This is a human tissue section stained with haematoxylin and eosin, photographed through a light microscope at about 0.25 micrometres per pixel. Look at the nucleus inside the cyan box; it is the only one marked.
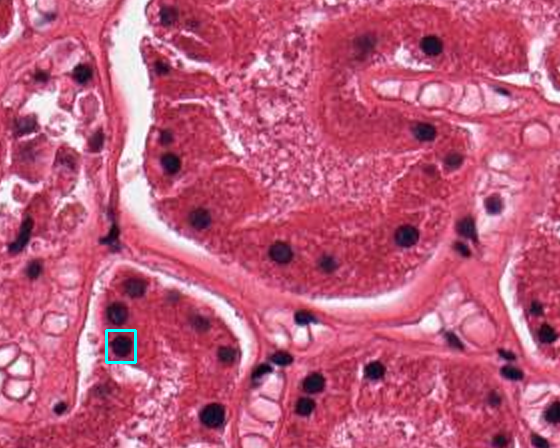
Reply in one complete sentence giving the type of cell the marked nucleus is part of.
Part of a proximal tubule cell is the marked nucleus.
